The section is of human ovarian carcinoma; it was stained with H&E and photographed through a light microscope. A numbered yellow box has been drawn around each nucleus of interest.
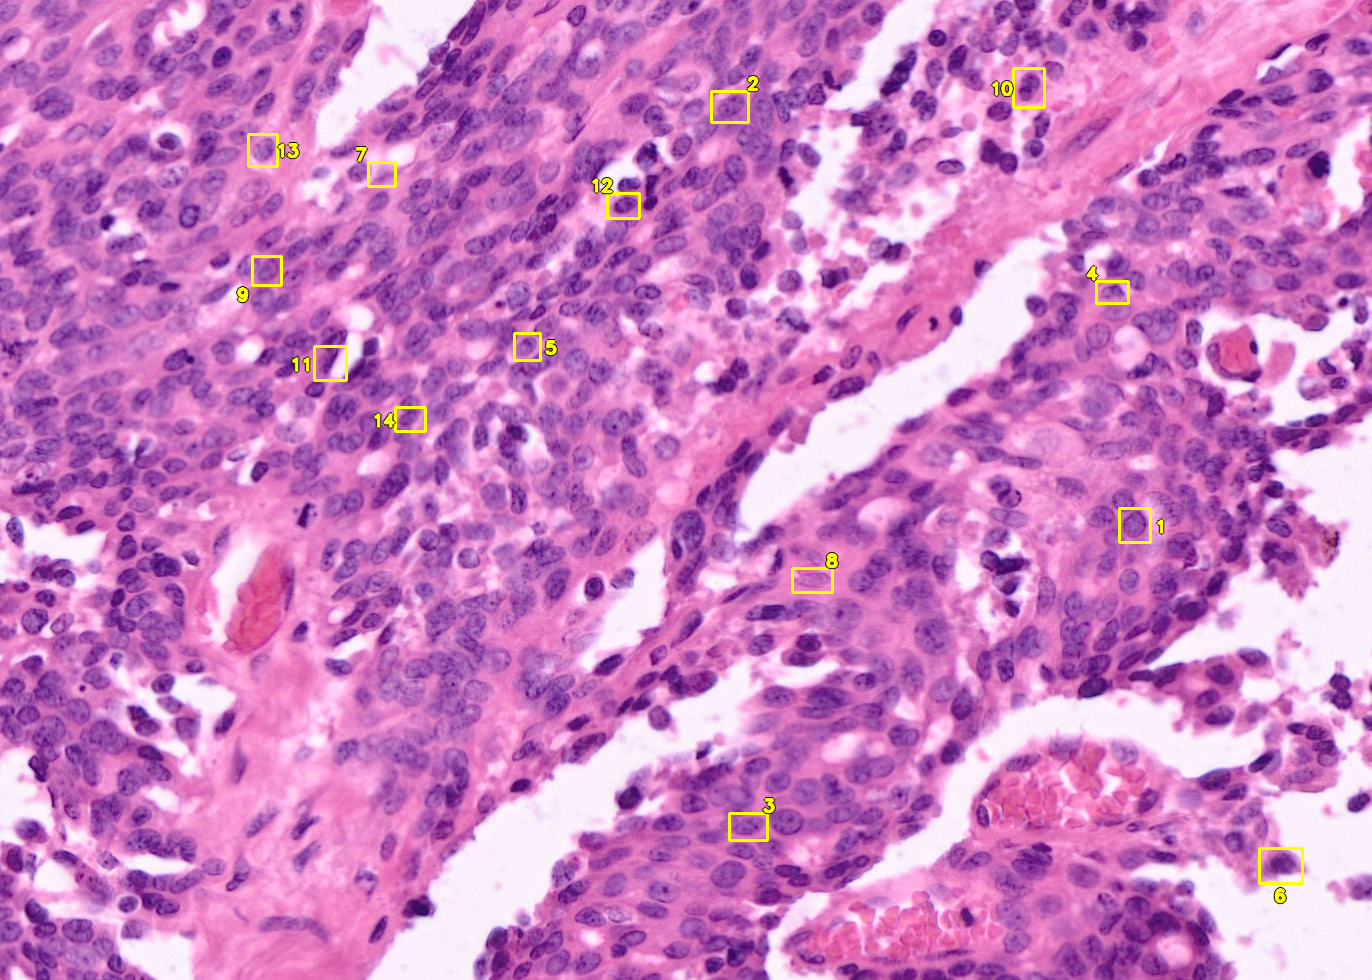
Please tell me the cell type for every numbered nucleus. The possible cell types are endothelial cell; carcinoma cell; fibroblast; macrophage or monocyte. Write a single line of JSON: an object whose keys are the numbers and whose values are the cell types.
{"1": "carcinoma cell", "2": "carcinoma cell", "3": "carcinoma cell", "4": "macrophage or monocyte", "5": "macrophage or monocyte", "6": "carcinoma cell", "7": "carcinoma cell", "8": "endothelial cell", "9": "carcinoma cell", "10": "macrophage or monocyte", "11": "carcinoma cell", "12": "macrophage or monocyte", "13": "macrophage or monocyte", "14": "carcinoma cell"}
